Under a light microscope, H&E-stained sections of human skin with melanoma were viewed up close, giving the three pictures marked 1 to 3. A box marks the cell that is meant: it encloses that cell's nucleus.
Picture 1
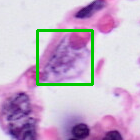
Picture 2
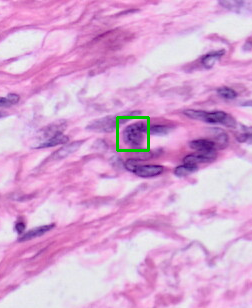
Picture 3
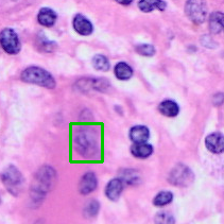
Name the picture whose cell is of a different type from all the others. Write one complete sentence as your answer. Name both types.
All pictures except 1 show endothelial cells; picture 1 shows a melanoma cell.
